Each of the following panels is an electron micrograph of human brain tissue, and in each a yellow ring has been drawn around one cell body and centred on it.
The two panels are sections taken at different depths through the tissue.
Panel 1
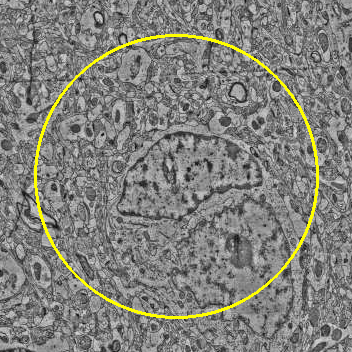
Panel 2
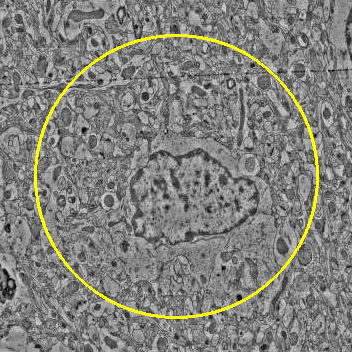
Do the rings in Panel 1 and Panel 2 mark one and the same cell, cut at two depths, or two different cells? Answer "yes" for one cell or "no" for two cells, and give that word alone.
yes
